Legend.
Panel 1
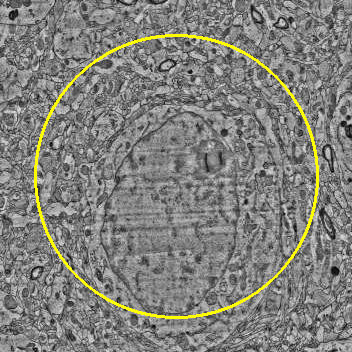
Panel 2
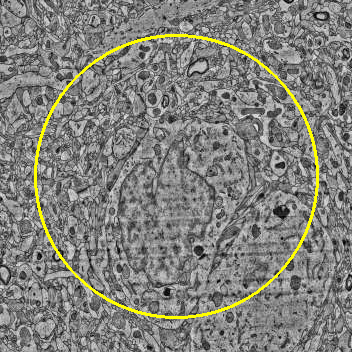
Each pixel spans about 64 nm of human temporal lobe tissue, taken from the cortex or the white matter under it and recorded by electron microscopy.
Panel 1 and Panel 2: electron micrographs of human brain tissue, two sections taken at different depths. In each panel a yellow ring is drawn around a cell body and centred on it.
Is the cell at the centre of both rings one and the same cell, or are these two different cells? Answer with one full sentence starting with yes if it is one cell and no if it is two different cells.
Yes, both rings are placed on a single cell.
